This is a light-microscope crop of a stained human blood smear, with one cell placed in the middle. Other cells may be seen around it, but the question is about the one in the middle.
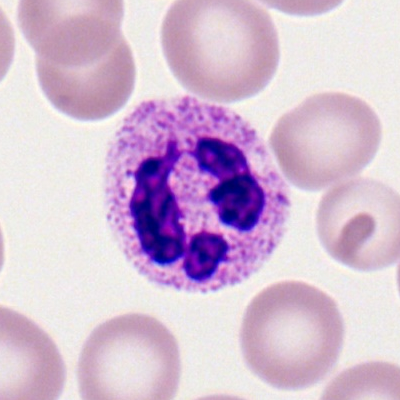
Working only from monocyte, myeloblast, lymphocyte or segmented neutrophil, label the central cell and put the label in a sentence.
Framed in the middle of the crop is a segmented neutrophil.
